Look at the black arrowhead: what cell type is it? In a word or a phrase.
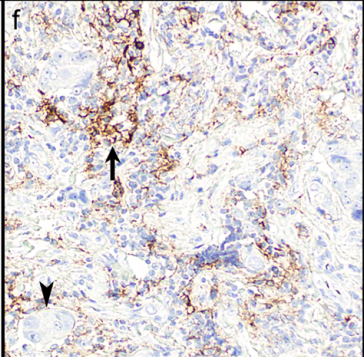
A: Tumor cells.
